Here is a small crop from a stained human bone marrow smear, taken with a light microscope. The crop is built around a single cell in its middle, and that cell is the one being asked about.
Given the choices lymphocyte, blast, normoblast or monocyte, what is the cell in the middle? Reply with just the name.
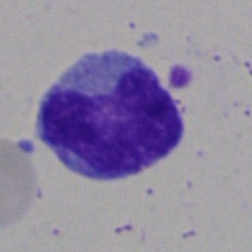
monocyte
